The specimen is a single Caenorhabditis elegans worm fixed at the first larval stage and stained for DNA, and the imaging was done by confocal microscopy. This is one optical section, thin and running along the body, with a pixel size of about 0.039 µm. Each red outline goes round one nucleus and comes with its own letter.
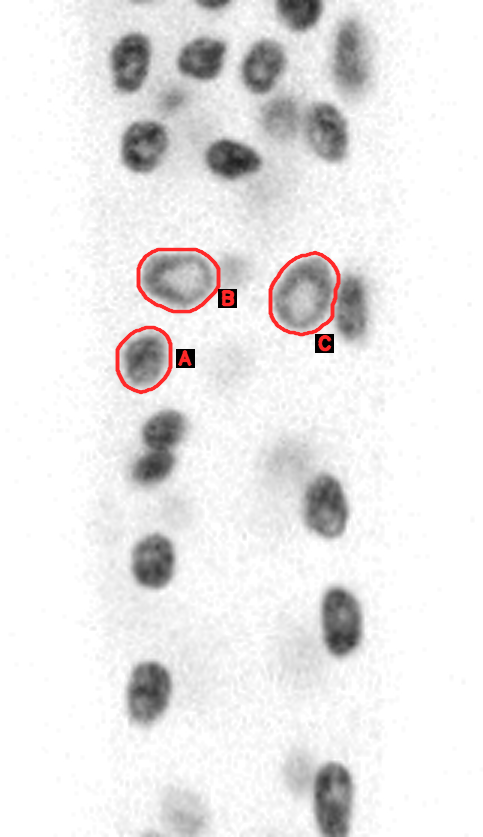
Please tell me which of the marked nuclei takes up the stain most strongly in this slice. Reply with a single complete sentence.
Of the marked nuclei, A takes up the stain most strongly.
